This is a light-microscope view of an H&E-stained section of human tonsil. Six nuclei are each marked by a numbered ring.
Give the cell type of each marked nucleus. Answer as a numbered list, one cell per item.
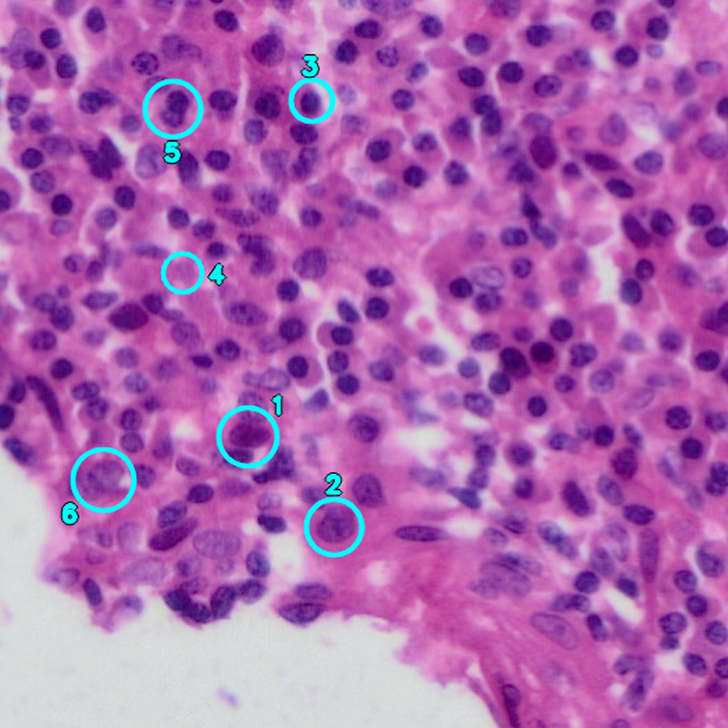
1. squamous epithelial cell
2. squamous epithelial cell
3. plasma cell
4. squamous epithelial cell
5. plasma cell
6. squamous epithelial cell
